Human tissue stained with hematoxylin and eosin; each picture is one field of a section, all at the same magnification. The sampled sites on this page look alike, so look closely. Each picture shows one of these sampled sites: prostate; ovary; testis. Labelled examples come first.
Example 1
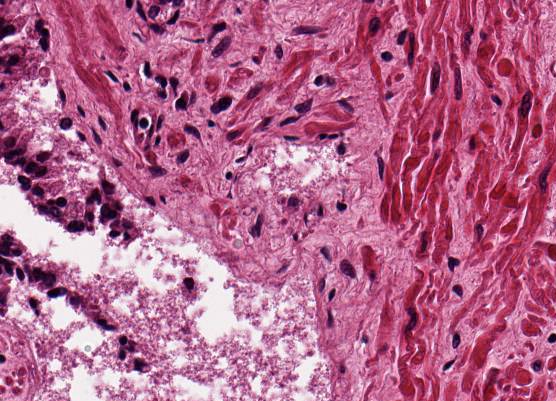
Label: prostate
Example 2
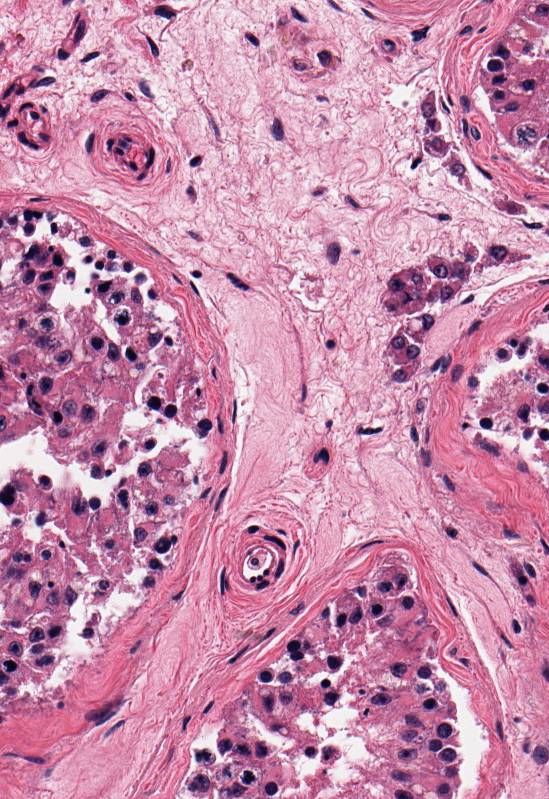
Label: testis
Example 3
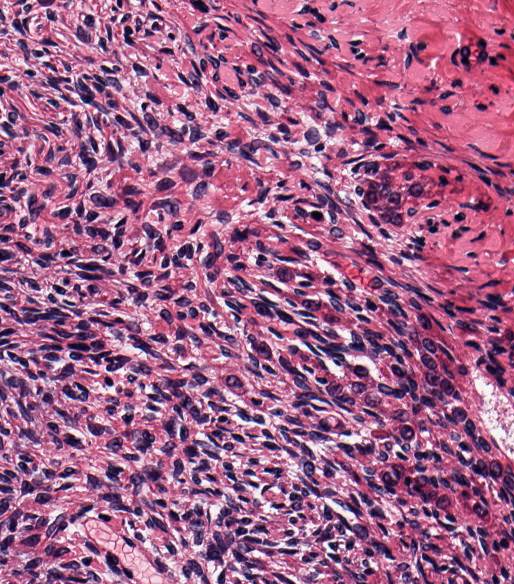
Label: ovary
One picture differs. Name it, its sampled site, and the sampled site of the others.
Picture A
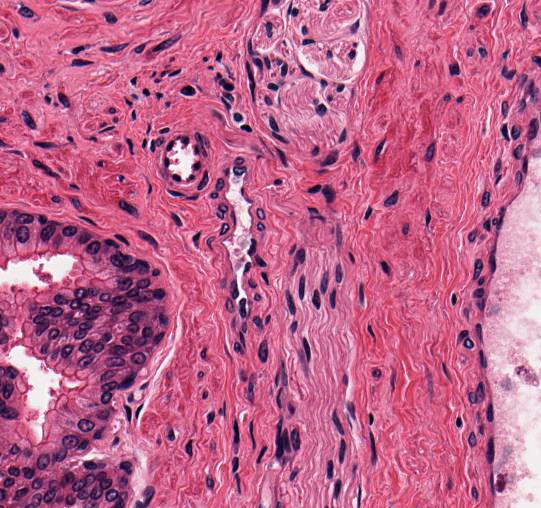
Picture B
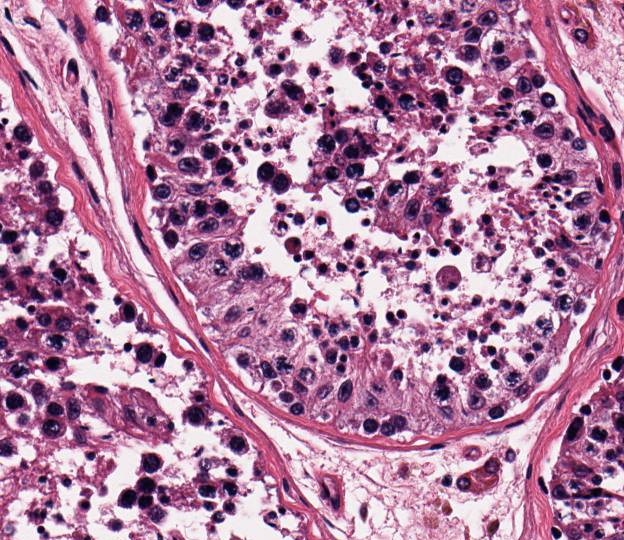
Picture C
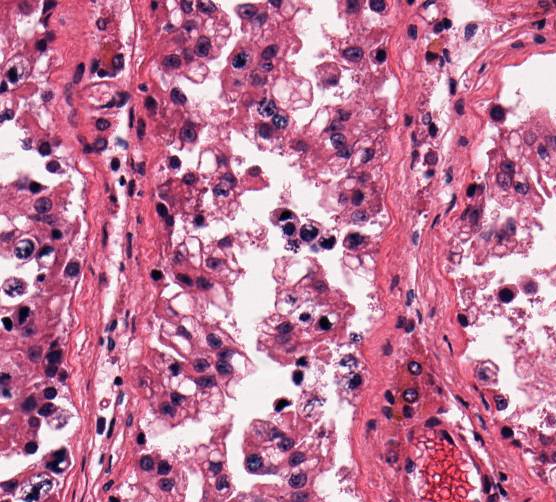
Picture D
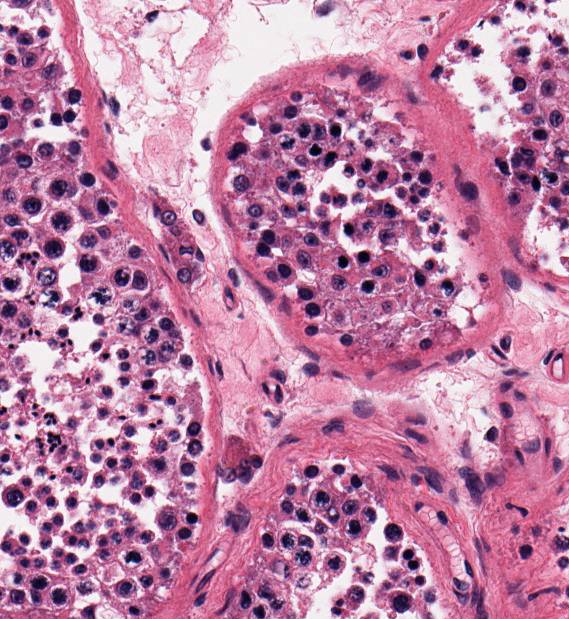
Different: A, prostate. Others: testis.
